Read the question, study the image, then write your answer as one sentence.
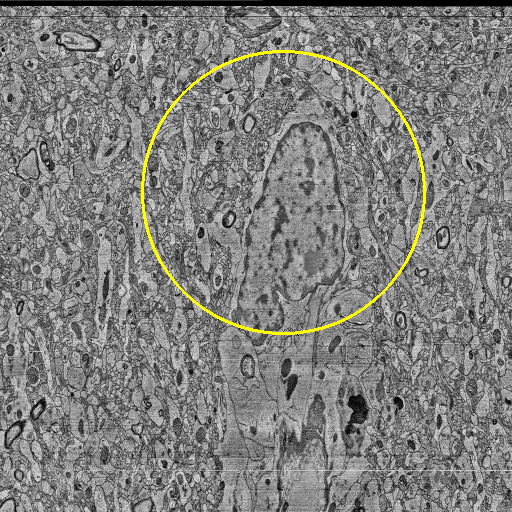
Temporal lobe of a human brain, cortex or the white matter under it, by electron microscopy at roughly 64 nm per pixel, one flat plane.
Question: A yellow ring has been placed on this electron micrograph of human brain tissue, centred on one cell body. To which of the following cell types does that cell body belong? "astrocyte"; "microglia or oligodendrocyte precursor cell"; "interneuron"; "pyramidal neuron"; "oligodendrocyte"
That cell body belongs to a microglial cell or oligodendrocyte precursor cell.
